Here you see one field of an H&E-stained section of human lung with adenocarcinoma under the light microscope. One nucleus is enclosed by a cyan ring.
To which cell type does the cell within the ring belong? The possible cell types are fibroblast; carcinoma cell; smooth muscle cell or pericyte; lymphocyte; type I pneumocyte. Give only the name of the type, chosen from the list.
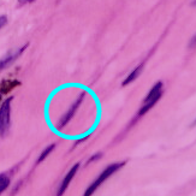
fibroblast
